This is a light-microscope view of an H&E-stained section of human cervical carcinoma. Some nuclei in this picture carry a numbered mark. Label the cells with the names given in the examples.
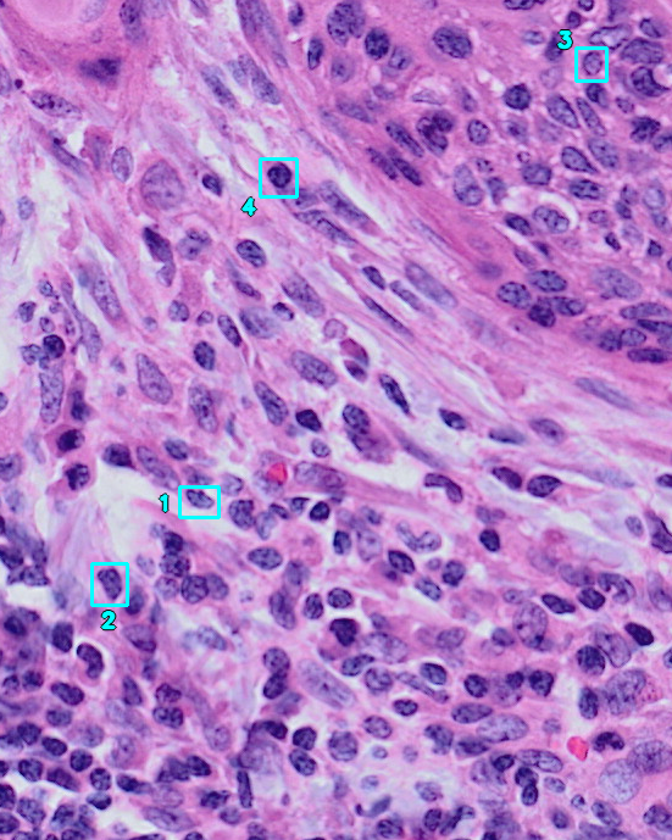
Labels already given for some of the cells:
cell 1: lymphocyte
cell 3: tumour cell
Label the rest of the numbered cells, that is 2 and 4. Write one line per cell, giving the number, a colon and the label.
2: lymphocyte
4: lymphocyte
